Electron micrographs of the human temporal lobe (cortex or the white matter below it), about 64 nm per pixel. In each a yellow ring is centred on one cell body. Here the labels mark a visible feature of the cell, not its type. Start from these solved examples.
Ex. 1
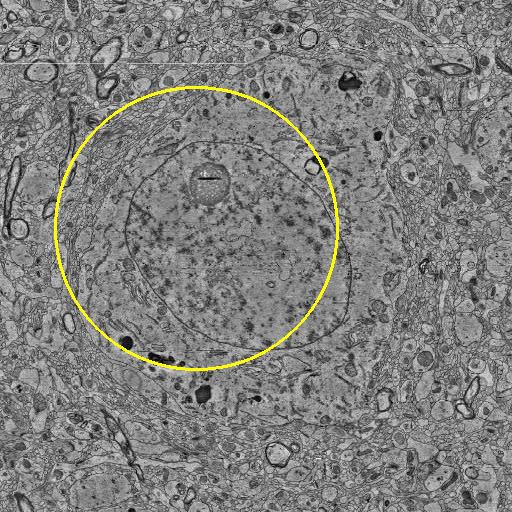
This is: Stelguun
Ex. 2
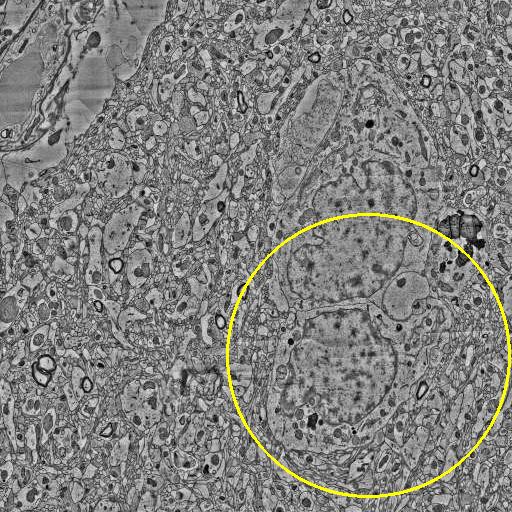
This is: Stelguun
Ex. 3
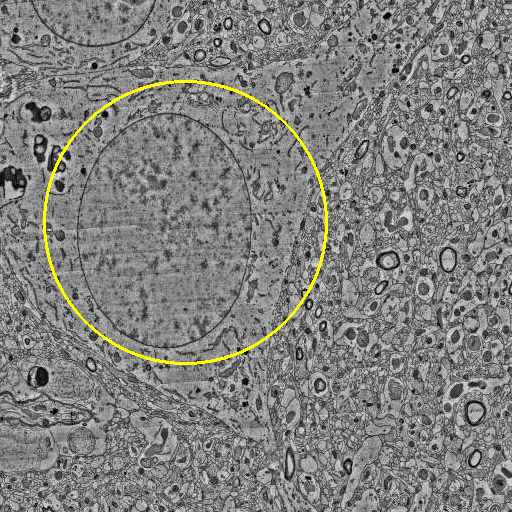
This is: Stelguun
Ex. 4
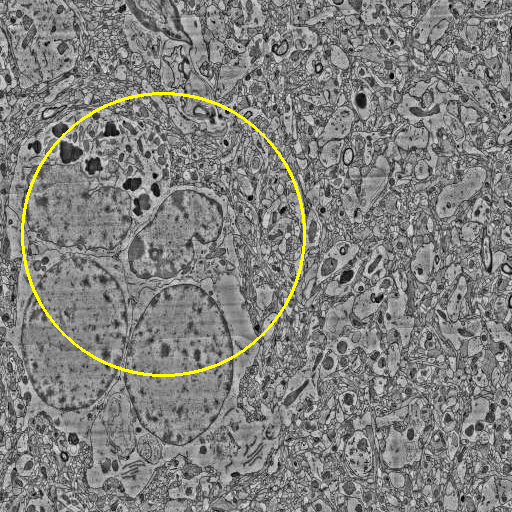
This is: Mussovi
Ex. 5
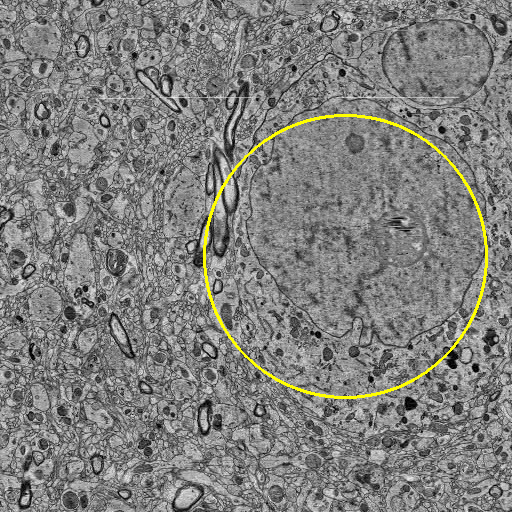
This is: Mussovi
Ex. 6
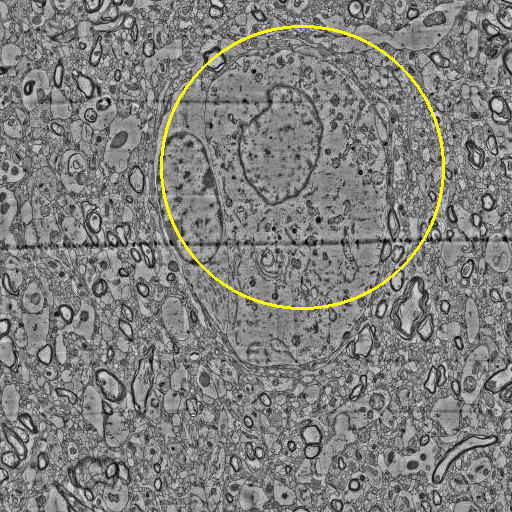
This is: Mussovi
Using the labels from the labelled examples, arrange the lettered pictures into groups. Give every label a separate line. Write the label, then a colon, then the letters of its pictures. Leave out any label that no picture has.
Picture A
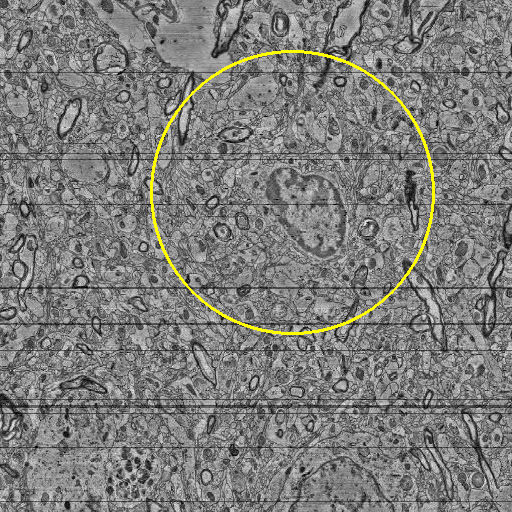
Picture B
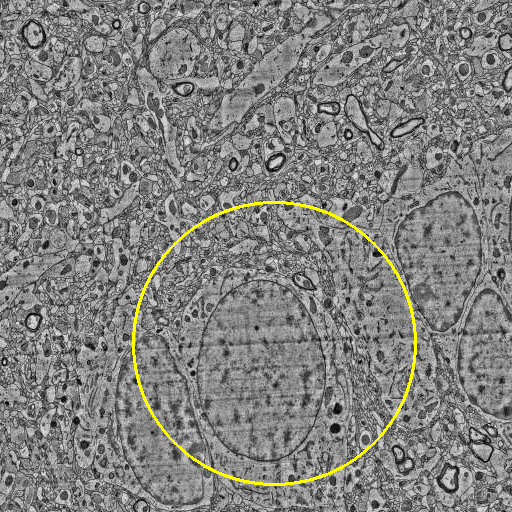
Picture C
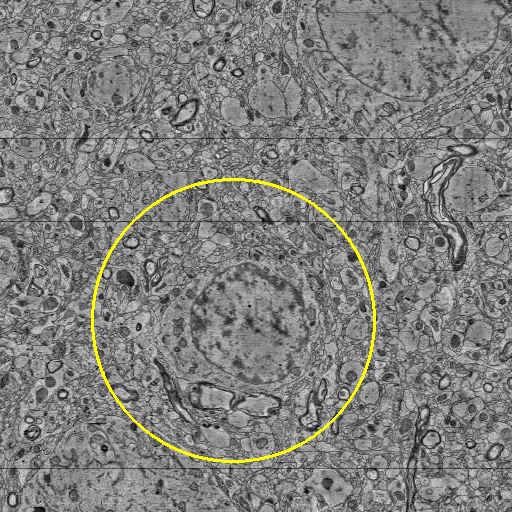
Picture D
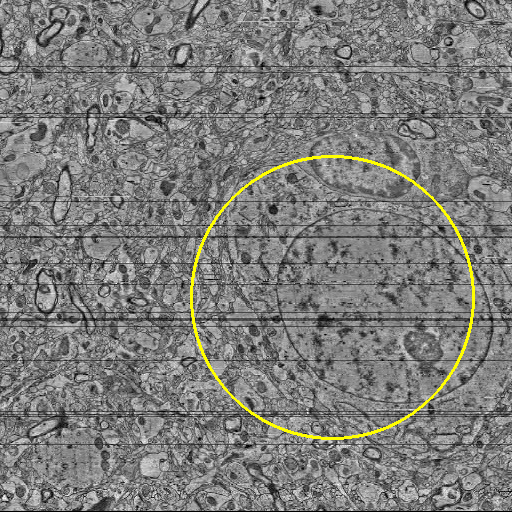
Stelguun: B, C, D
Mussovi: A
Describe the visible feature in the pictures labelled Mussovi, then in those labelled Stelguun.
Mussovi, deeply folded or indented nuclear envelopes; Stelguun, smooth nuclear envelopes without deep folds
